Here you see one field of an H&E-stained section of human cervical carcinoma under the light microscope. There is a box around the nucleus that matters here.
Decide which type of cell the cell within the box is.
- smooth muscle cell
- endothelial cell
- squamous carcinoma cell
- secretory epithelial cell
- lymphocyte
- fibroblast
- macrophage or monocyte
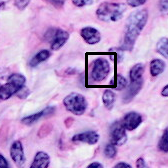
lymphocyte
